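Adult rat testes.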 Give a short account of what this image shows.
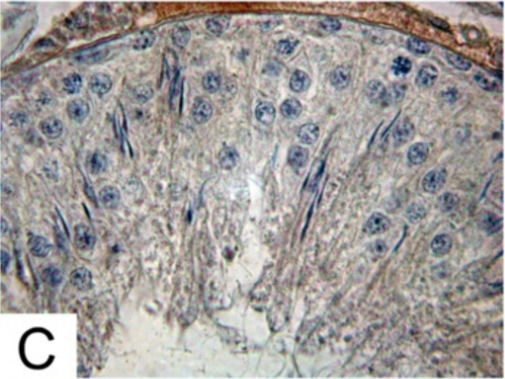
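A segment of a seminiferous tubule is seen with its wall curving along the top and the lumen toward the bottom. Bundles of slender, dark blue, needle-like nuclei reach deep into the epithelium among rows of round blue nuclei, with light brown staining through the cytoplasm. The tissue around the tubule wall at the top is stained a stronger brown. The slender nuclei in bundles are those of elongating spermatids lying among other germ cells.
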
